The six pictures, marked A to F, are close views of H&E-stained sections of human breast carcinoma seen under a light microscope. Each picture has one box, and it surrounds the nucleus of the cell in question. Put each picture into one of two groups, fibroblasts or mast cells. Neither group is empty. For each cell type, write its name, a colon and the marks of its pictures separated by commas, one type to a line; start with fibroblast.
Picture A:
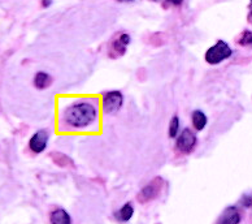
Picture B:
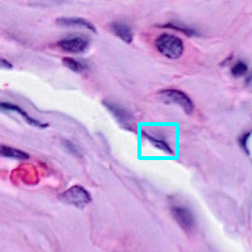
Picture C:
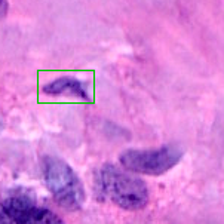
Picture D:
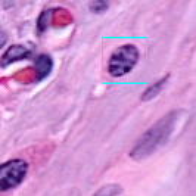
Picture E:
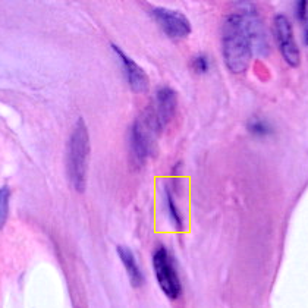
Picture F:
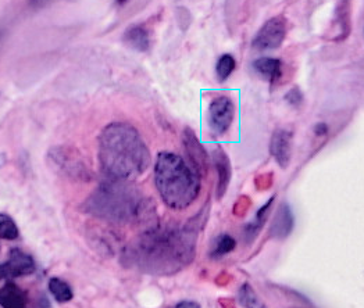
fibroblast: B, C, E
mast cell: A, D, F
